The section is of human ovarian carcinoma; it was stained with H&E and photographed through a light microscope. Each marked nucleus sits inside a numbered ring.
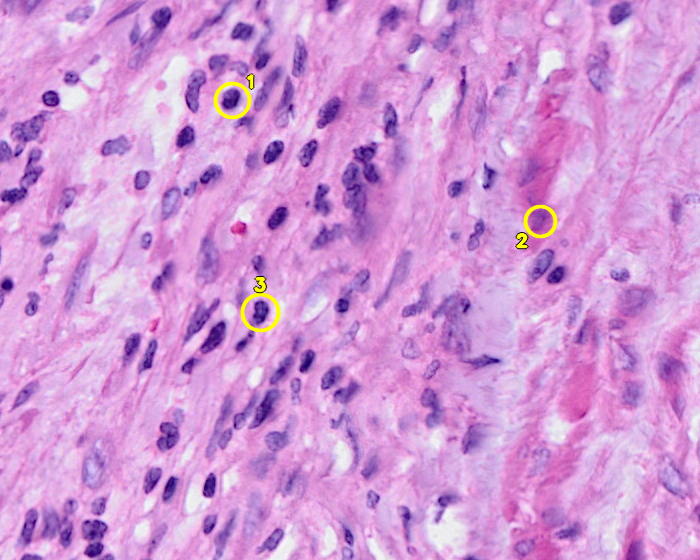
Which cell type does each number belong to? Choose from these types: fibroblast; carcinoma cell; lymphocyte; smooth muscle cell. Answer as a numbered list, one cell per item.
1. lymphocyte
2. smooth muscle cell
3. lymphocyte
